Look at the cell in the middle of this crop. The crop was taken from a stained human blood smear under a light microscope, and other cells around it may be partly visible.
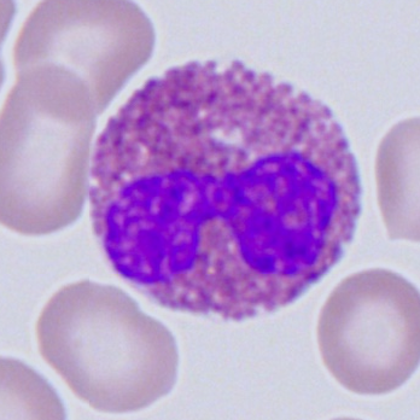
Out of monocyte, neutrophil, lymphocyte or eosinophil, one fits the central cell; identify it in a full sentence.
The cell of interest, in the center, is an eosinophil.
